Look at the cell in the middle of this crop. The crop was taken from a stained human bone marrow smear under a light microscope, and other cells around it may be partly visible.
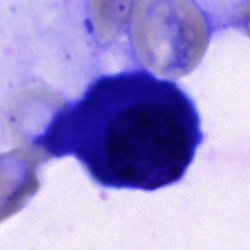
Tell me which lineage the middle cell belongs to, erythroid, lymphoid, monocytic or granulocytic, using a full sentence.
Classified by lineage, the middle cell is lymphoid.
